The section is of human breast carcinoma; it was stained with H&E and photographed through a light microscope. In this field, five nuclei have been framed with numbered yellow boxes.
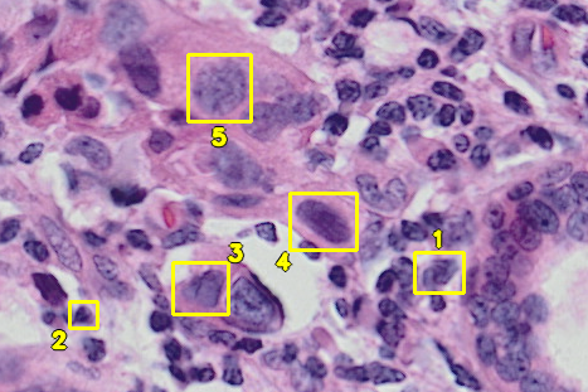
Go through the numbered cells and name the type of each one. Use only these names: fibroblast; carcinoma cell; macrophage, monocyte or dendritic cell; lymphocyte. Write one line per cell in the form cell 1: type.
cell 1: lymphocyte
cell 2: lymphocyte
cell 3: carcinoma cell
cell 4: carcinoma cell
cell 5: carcinoma cell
